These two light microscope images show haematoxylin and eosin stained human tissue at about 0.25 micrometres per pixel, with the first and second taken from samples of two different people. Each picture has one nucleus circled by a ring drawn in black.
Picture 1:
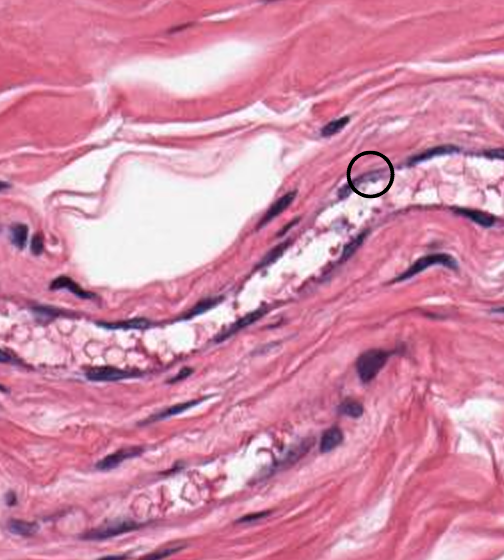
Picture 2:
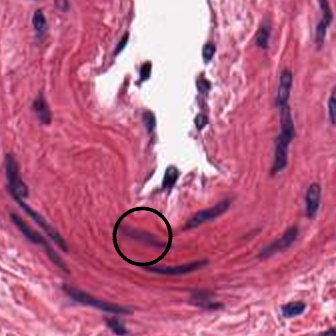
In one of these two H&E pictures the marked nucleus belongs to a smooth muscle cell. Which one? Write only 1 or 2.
2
